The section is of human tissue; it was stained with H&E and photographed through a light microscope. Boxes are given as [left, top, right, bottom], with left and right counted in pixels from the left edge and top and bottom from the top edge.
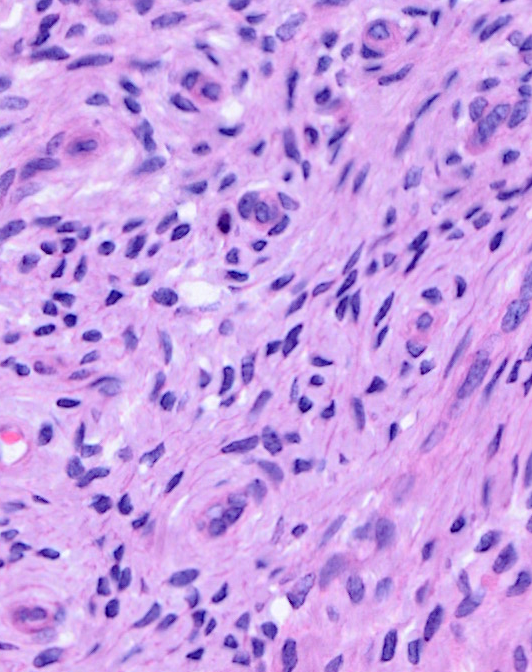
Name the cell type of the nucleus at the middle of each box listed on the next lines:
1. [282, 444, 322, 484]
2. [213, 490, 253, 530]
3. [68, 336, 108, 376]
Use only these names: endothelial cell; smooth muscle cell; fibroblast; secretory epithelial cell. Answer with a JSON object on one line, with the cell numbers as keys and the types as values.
{"1": "fibroblast", "2": "endothelial cell", "3": "fibroblast"}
